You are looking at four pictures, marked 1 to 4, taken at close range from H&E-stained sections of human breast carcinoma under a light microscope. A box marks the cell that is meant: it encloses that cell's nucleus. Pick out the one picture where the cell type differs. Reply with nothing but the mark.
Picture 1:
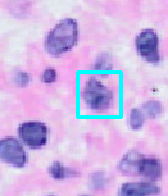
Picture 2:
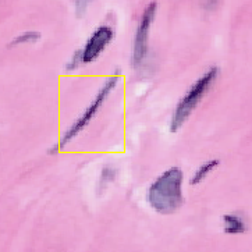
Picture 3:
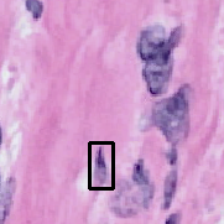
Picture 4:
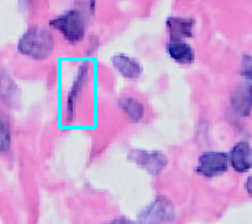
1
